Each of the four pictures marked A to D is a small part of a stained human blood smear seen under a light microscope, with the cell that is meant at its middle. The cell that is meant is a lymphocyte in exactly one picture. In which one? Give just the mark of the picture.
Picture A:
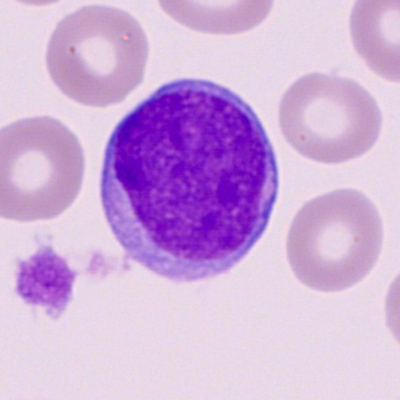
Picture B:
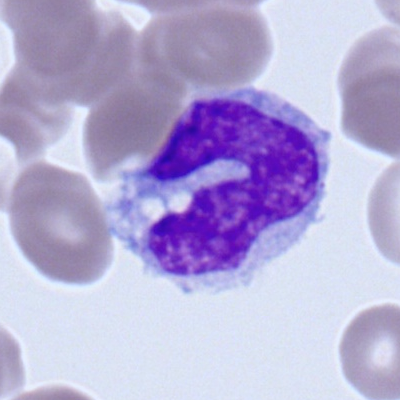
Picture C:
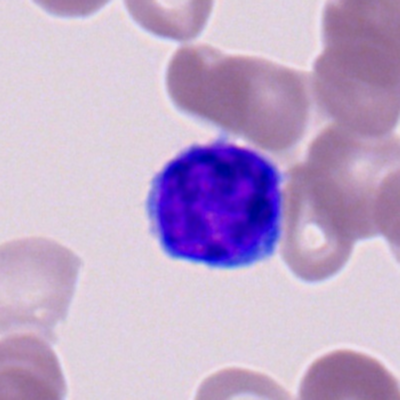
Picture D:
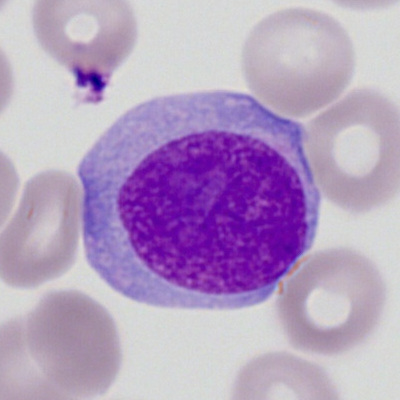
C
